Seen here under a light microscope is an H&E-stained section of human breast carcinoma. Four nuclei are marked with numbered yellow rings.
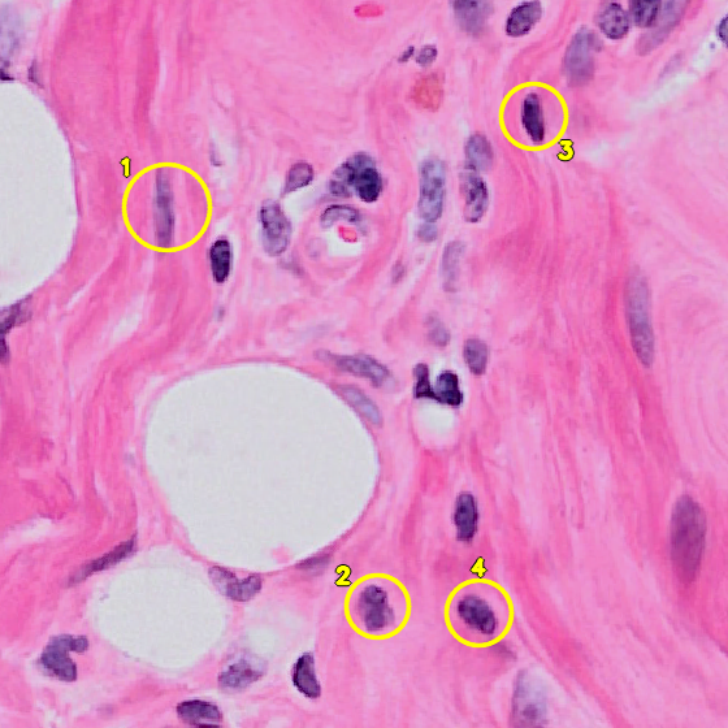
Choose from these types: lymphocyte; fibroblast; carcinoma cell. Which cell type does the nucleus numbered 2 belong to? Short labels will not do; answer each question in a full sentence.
The one labeled 2 is a lymphocyte, to put it simply.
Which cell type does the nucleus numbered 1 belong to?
Cell 1 in the field of view is a fibroblast.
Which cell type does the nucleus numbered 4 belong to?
Here the cell numbered 4 is a lymphocyte.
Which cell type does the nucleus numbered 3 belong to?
The cell referred to as 3 is a lymphocyte.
